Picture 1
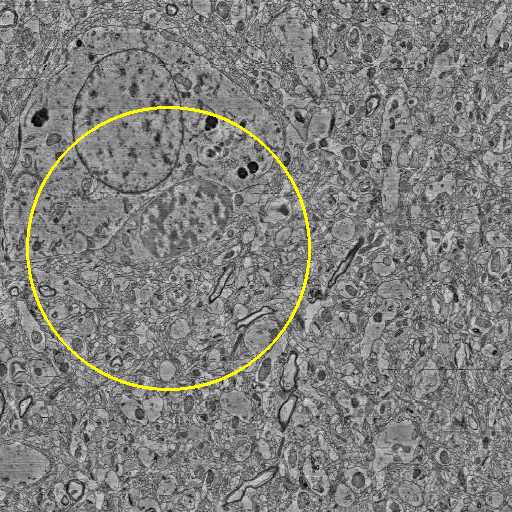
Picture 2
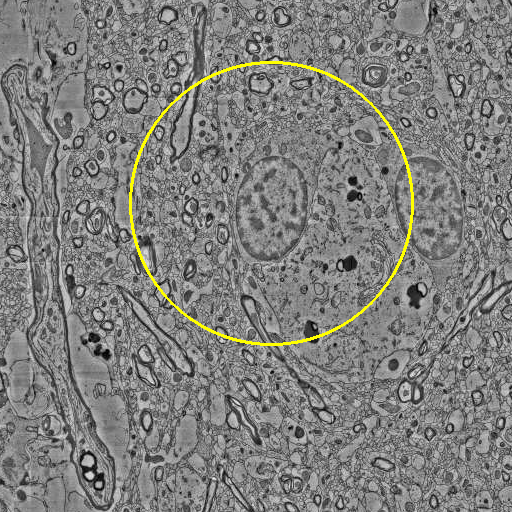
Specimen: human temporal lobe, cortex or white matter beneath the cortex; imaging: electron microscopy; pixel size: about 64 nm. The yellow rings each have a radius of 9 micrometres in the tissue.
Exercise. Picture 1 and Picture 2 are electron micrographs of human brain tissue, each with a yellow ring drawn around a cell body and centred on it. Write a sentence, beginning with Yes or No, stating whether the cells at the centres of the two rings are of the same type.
Yes, the cells at the centres of both rings are of the same type.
